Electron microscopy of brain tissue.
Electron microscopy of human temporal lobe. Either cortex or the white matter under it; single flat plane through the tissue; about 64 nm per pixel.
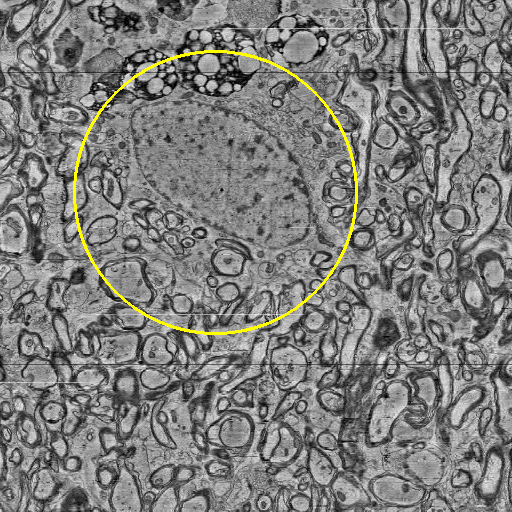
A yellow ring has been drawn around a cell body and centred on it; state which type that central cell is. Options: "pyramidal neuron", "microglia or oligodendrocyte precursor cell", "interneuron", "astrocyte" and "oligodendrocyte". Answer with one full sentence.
The cell at the middle of the yellow ring is an astrocyte in this picture.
